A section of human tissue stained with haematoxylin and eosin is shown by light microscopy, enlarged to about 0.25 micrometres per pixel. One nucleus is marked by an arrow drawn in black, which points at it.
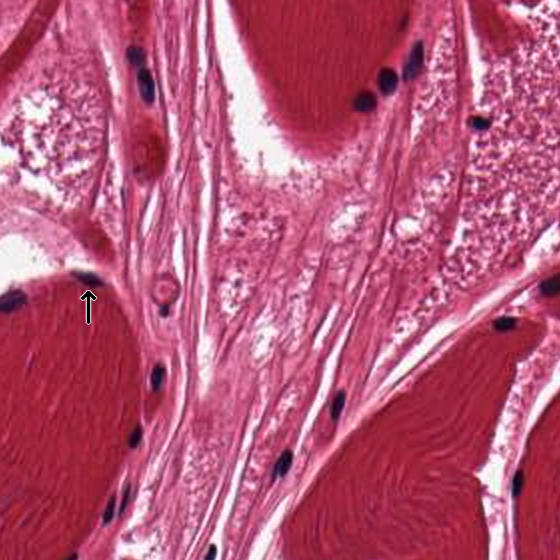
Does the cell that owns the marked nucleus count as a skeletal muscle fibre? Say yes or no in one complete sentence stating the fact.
Yes, the marked nucleus is recognised as belonging to a skeletal muscle fibre.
